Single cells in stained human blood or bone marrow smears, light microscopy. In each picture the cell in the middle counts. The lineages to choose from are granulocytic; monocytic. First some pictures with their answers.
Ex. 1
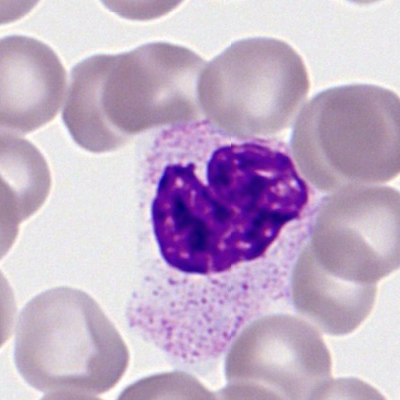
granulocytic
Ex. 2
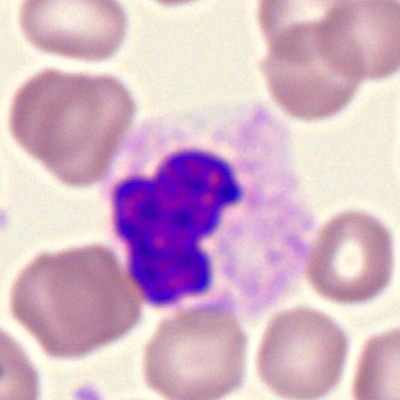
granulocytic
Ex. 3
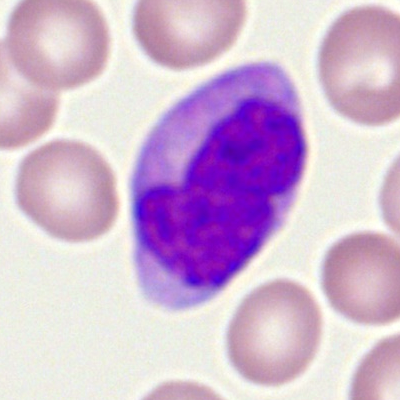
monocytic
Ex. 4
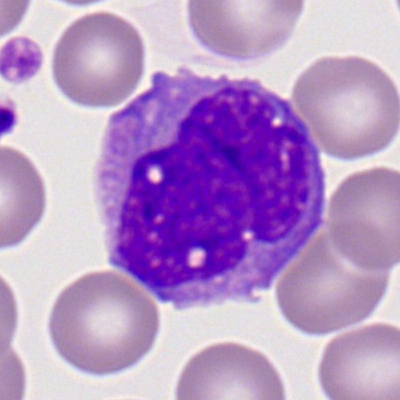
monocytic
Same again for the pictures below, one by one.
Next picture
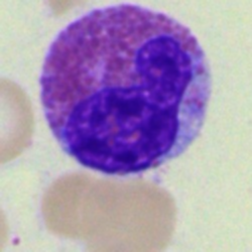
granulocytic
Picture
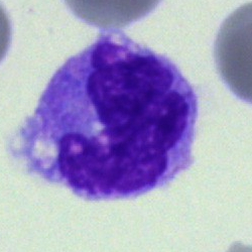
monocytic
